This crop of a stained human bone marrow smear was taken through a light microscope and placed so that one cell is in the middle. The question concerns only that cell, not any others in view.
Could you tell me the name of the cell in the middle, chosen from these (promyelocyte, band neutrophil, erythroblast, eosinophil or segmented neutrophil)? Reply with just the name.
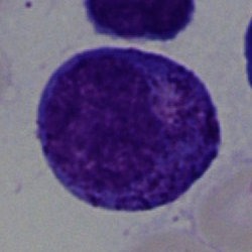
promyelocyte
